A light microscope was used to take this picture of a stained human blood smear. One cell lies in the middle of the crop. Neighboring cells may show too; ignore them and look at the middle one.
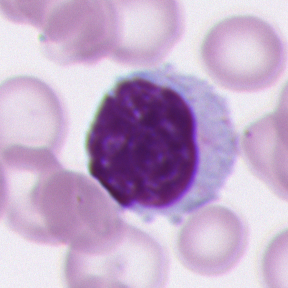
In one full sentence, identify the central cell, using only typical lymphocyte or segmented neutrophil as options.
For this crop, the central cell is a typical lymphocyte.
